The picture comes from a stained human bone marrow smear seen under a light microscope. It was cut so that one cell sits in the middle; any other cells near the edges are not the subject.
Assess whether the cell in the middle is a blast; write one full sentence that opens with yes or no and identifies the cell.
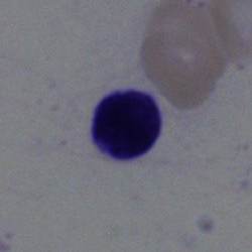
No, sorry, the middle cell is a lymphocyte rather than a blast.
